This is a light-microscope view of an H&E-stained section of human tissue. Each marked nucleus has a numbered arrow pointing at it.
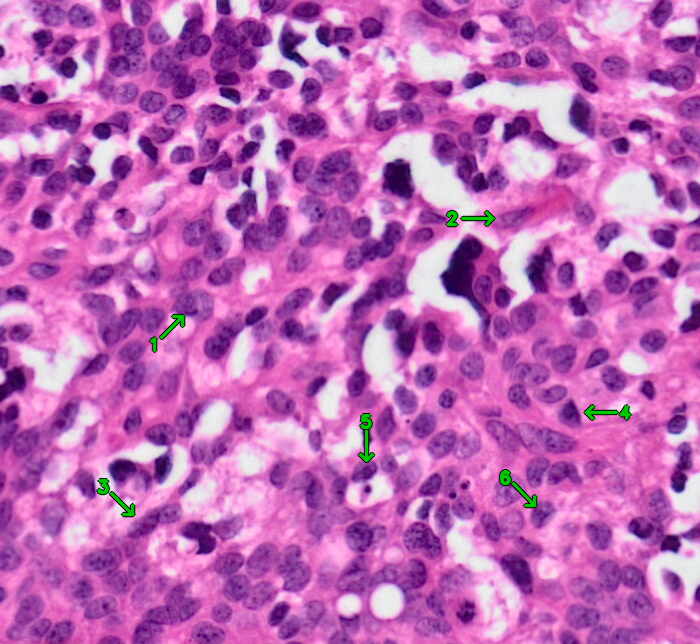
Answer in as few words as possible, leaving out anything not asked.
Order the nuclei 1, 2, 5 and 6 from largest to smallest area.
1, 2, 6, 5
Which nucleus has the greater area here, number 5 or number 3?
3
